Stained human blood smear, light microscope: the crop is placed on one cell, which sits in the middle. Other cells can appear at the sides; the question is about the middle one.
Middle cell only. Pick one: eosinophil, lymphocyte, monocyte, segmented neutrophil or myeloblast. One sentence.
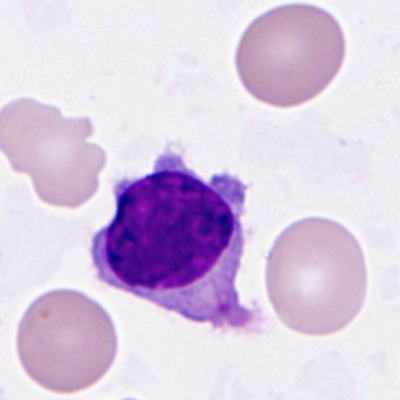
The middle position in this crop is taken by a lymphocyte.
